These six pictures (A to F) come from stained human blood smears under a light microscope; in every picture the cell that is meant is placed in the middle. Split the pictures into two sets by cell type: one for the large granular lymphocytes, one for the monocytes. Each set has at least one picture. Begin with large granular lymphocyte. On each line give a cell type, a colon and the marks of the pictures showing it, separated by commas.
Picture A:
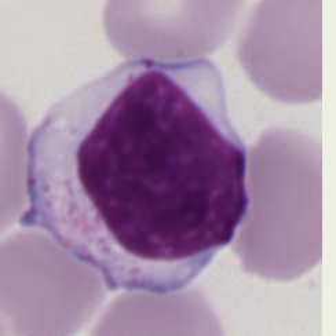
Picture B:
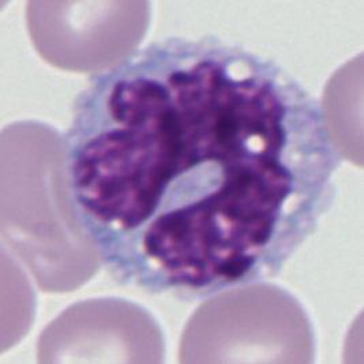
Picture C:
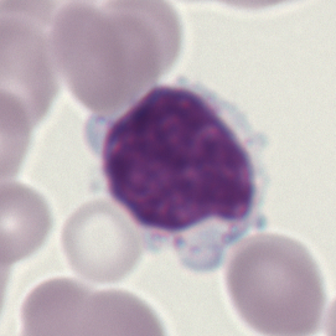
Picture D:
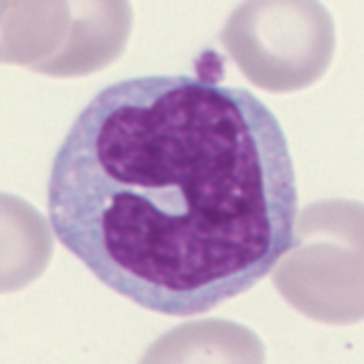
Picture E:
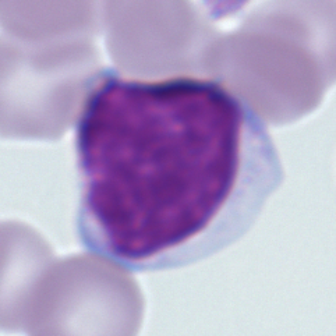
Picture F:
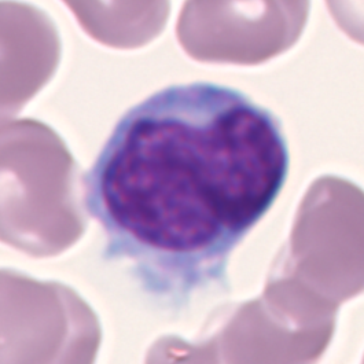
large granular lymphocyte: A, C, E
monocyte: B, D, F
